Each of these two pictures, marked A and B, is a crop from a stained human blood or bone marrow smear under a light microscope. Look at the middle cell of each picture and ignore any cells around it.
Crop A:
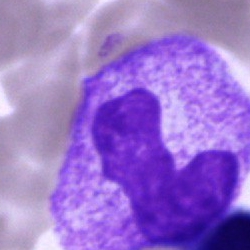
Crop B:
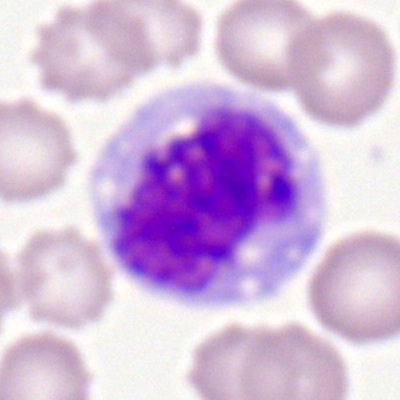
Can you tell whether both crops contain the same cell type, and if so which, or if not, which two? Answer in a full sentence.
No, crop A captures a band neutrophil; meanwhile crop B captures a monocyte.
